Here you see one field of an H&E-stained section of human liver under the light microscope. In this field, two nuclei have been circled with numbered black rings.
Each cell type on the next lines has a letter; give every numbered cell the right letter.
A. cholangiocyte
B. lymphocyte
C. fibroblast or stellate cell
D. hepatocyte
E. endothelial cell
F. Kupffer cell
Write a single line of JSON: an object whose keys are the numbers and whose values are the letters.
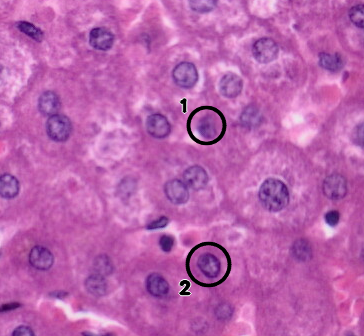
{"1": "E", "2": "D"}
